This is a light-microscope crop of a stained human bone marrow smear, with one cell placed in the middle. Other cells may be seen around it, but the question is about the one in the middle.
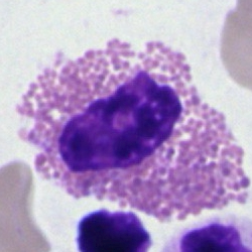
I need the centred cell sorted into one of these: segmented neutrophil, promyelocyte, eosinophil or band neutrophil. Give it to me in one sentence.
For this crop, the cell in the middle is an eosinophil.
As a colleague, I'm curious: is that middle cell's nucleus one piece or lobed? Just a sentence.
Between us, the nucleus here is just one compact mass, round, oval or kidney-shaped.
